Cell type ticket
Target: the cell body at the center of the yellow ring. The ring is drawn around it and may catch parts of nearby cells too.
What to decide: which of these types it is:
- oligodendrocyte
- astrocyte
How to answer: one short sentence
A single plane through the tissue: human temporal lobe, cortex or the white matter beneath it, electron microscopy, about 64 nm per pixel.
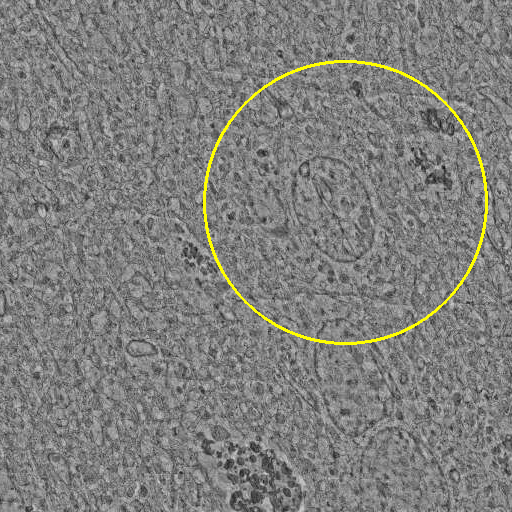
The cell at the center of the ring is an astrocyte.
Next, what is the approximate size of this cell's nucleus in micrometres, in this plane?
About 7 micrometres by about 5 micrometres in this plane.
